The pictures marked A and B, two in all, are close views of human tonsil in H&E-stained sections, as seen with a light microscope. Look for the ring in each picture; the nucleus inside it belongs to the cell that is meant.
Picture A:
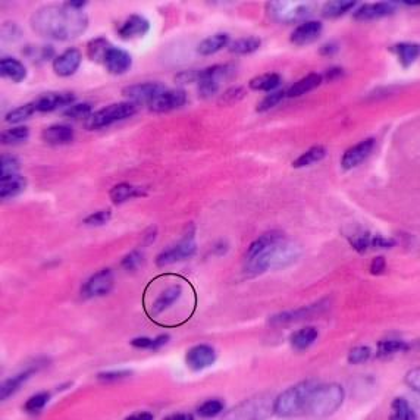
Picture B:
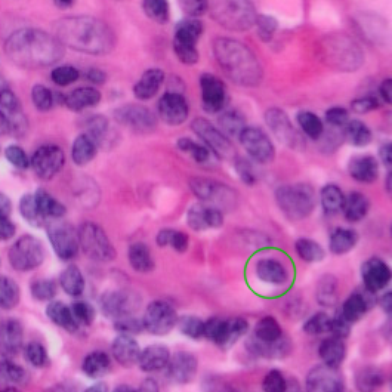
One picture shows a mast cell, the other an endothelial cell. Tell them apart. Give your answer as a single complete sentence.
In picture A the cell is a mast cell; in picture B, an endothelial cell.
